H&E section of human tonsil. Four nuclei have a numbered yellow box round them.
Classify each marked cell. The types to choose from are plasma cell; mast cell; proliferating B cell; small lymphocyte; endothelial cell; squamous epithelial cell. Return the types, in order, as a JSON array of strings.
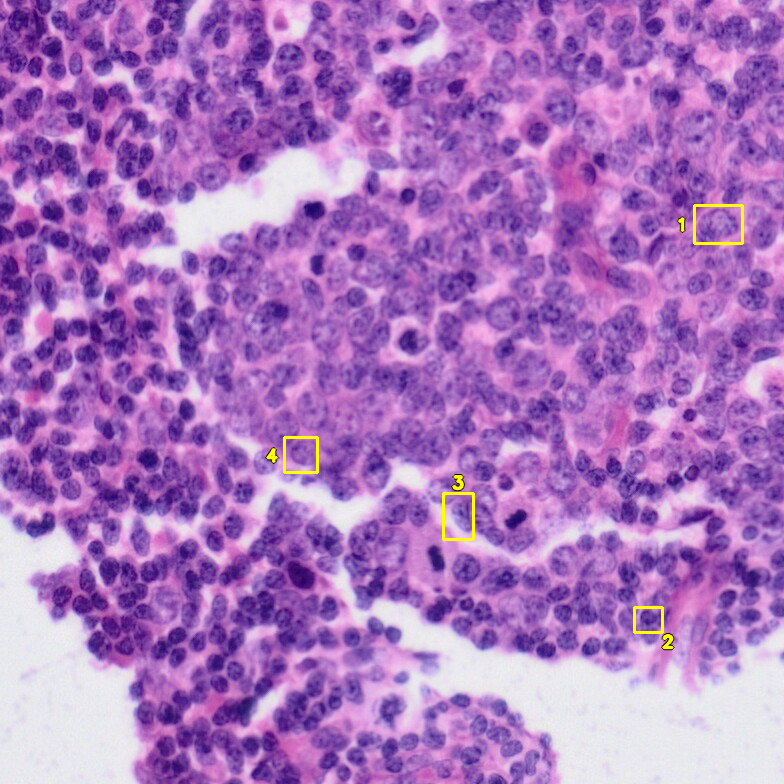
["proliferating B cell", "small lymphocyte", "proliferating B cell", "proliferating B cell"]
